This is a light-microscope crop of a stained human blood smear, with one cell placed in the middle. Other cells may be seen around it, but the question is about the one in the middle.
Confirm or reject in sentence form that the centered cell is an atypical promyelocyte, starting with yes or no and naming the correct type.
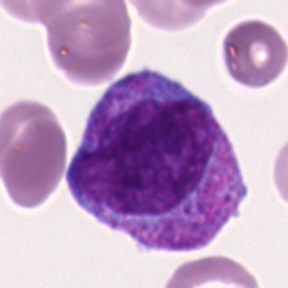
Yes, it is an atypical promyelocyte that occupies the centre of the crop.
